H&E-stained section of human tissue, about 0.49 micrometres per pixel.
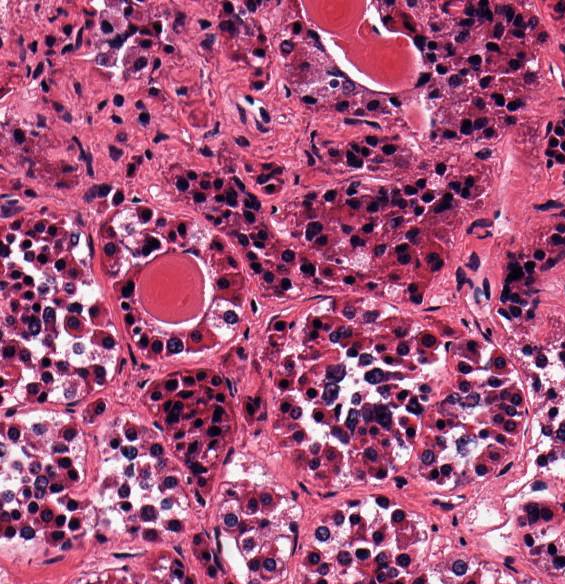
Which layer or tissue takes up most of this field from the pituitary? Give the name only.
pars distalis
